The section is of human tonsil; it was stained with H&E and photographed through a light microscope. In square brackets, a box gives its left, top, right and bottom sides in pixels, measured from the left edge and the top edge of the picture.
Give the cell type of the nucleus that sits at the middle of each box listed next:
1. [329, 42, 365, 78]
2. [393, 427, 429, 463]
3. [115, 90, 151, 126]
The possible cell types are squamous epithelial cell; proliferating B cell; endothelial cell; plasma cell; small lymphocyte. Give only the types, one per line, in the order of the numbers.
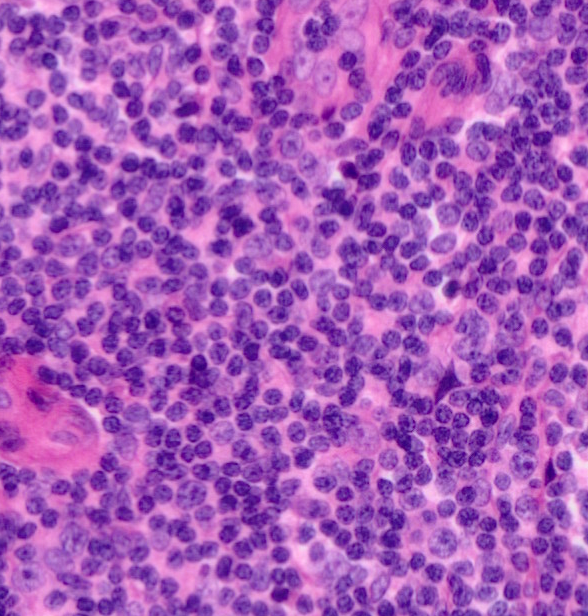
endothelial cell
small lymphocyte
small lymphocyte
